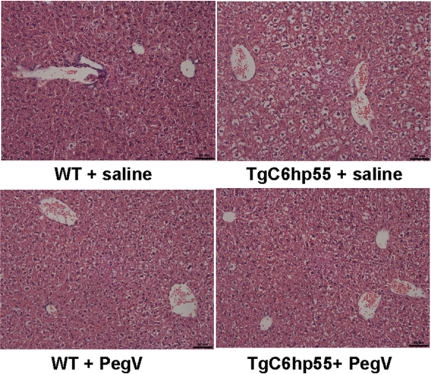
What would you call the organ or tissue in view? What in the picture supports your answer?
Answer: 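Liver. Sheets of polygonal pink cells with round central nuclei. Round vessel lumens containing red blood cells scattered through the tissue.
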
